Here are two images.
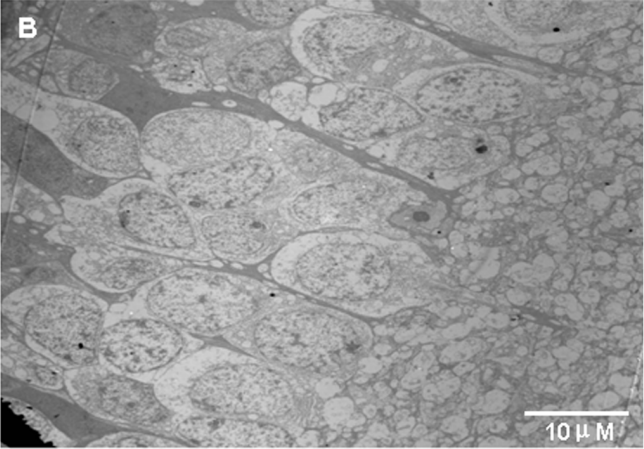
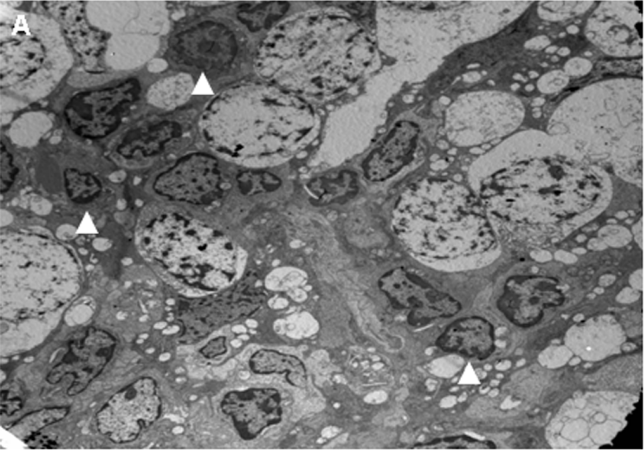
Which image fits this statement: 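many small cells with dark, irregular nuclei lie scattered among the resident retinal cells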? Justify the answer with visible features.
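The second image. First image: only large pale oval nuclei with fine chromatin, no small dark-nucleated cells. Second image: numerous small cells with dense, clumped, irregular nuclei lie between large pale nuclei.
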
